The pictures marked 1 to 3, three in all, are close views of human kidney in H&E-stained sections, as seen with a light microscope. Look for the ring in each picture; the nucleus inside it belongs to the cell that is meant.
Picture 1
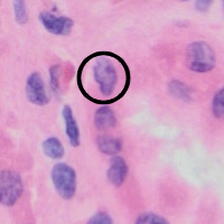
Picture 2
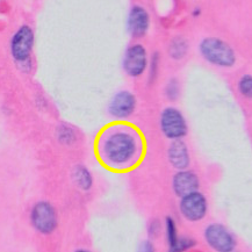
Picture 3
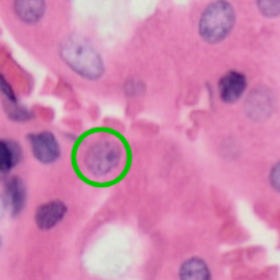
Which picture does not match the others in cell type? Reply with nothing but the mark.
2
